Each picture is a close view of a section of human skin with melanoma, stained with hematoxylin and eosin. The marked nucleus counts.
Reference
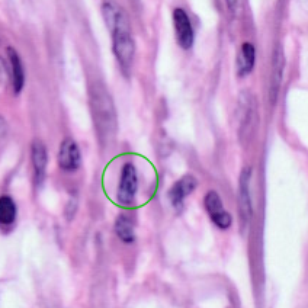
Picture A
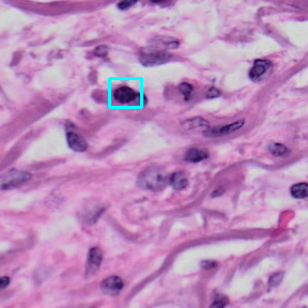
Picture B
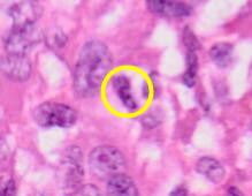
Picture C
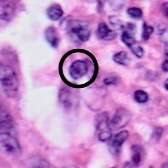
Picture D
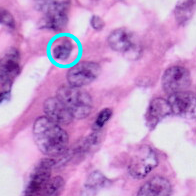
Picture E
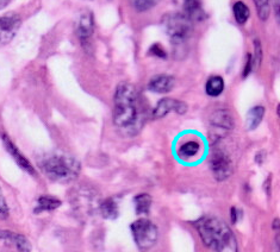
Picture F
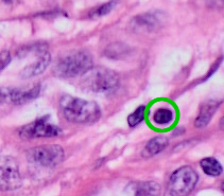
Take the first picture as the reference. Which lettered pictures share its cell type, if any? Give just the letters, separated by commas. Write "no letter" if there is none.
A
